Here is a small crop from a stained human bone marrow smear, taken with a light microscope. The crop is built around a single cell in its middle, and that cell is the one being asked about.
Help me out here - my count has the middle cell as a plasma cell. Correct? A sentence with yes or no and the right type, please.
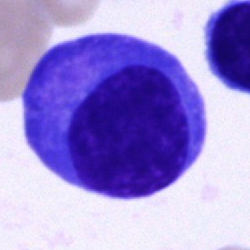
Yes, the cell in the middle of this smear crop is a plasma cell.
